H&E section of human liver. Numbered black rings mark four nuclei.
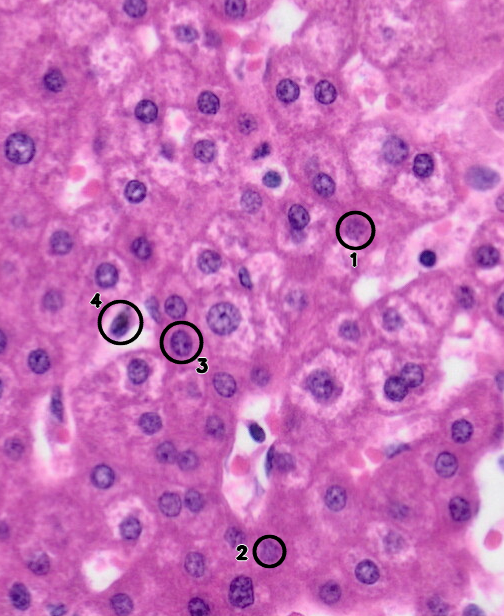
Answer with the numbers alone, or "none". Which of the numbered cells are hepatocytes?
1, 2, 3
